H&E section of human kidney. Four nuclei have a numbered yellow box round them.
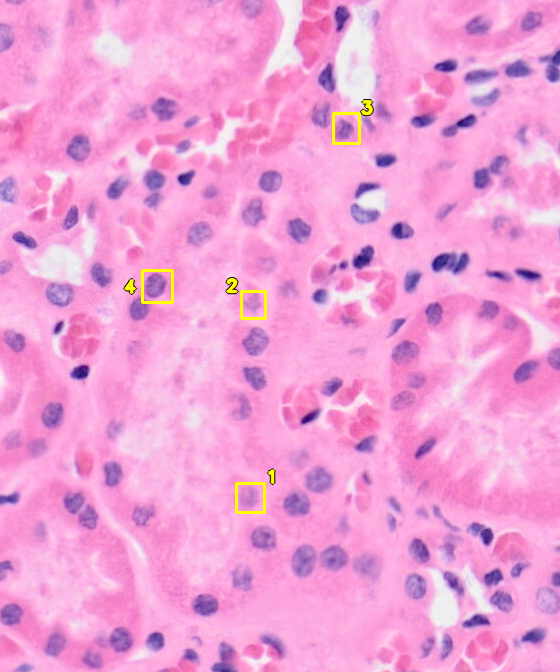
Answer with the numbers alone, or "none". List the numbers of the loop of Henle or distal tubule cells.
3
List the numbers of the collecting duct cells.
none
